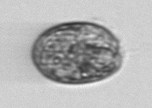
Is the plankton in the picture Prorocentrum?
Yes, it is Prorocentrum.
